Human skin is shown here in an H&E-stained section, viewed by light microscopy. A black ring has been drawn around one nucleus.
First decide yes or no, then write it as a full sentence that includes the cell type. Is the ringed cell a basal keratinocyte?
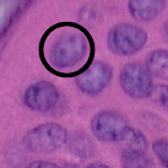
No, it is a suprabasal keratinocyte, not a basal keratinocyte, that the ringed cell represents.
